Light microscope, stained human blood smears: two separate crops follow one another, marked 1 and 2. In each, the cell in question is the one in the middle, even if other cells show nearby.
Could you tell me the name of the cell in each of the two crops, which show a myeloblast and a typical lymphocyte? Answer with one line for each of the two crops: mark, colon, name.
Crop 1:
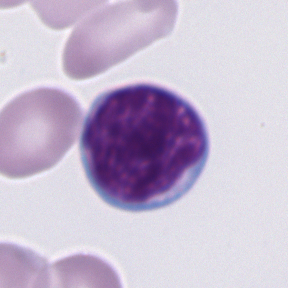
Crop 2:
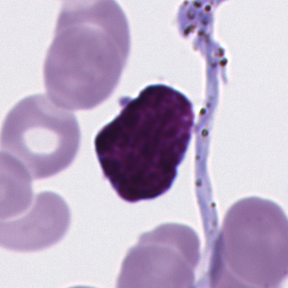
1: typical lymphocyte
2: myeloblast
